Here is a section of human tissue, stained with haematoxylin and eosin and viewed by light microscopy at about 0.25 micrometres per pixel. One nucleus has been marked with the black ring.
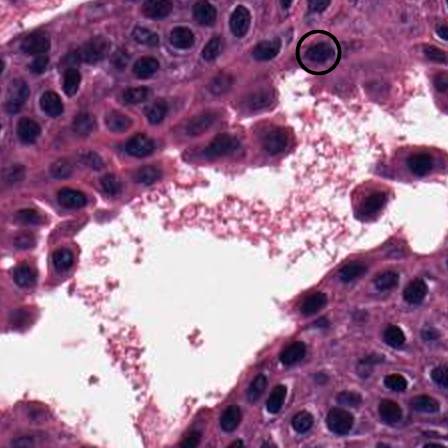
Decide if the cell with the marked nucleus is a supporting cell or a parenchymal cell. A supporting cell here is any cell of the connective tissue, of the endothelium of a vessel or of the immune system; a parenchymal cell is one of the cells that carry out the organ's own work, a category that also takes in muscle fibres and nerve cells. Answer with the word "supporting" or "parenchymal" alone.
parenchymal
